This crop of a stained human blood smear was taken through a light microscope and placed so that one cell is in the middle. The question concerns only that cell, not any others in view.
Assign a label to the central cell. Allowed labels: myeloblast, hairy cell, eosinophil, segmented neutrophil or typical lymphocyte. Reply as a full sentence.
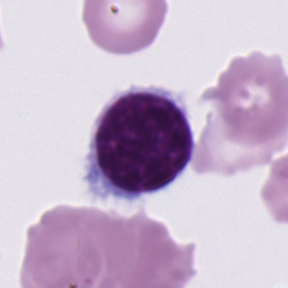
The cell under consideration, at the middle of the crop, is a hairy cell.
